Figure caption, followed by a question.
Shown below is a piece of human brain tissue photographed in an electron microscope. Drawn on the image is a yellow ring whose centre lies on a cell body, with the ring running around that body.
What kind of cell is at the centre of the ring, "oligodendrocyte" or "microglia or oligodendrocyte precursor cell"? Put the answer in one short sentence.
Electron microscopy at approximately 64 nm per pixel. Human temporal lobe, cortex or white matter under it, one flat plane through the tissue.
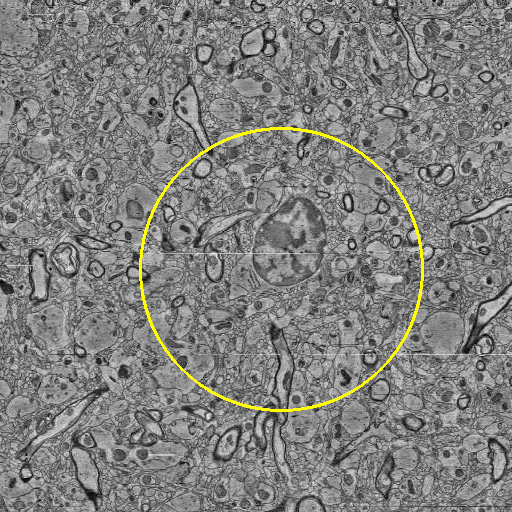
The ring marks the cell body of a microglial cell or oligodendrocyte precursor cell.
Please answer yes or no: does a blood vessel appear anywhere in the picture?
No, none is visible.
